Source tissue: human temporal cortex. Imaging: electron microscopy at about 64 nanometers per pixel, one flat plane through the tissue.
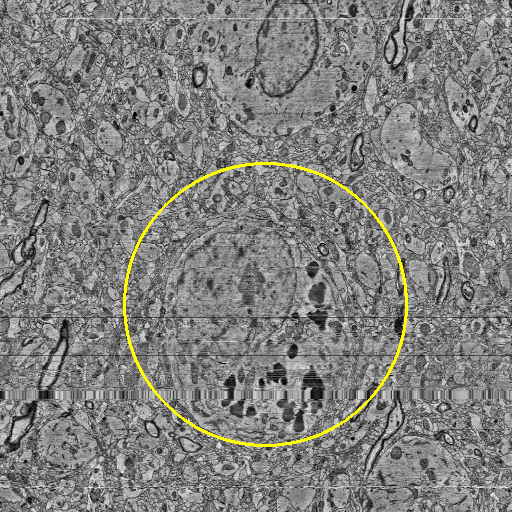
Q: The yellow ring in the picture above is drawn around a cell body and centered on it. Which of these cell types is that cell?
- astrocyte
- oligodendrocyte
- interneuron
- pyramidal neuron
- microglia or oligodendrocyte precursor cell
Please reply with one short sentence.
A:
The cell body at the ring's center belongs to an interneuron.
